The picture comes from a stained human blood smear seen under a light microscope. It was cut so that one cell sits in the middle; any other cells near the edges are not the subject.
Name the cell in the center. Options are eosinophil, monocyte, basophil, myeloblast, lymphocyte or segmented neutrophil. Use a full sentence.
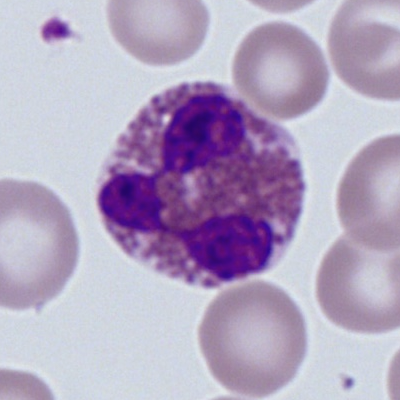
In the centre of this crop there is an eosinophil.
